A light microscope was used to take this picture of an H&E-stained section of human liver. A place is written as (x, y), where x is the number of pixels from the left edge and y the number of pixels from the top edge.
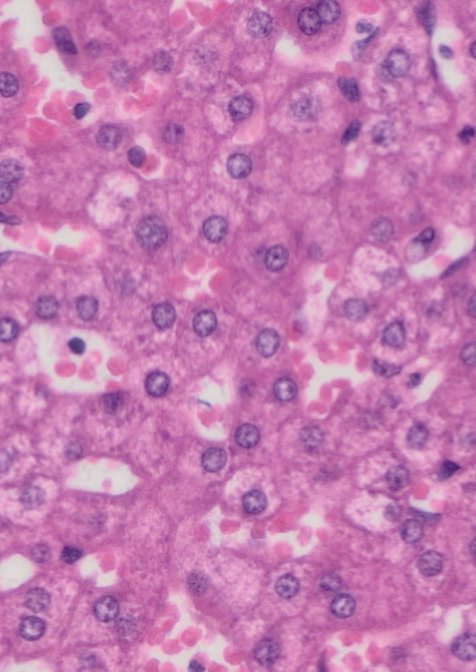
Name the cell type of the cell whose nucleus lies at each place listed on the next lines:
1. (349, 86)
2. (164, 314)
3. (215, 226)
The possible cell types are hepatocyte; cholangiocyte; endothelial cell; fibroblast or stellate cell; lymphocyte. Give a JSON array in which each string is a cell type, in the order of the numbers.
["fibroblast or stellate cell", "hepatocyte", "hepatocyte"]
